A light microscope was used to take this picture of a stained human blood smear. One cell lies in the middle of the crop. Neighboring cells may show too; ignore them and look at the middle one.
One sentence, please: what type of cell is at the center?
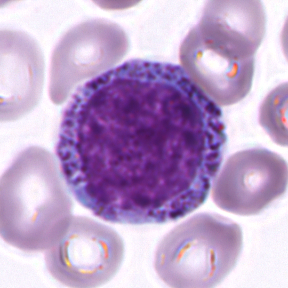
The cell centered in this field of view is a promyelocyte.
